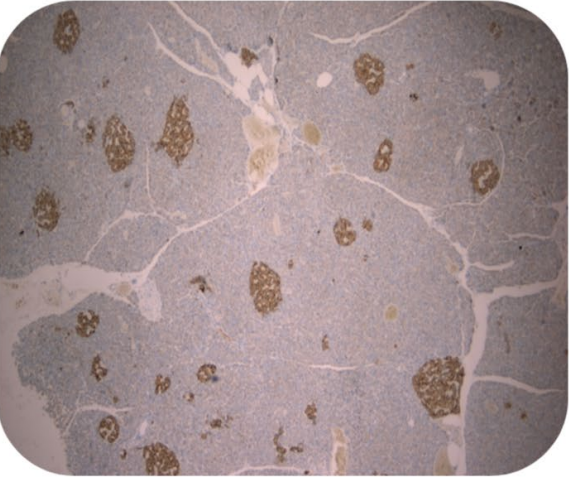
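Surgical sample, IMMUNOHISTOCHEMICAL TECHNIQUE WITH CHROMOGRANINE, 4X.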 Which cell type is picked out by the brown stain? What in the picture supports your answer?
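Brown-stained rounded clusters of varied size are scattered in a pale blue background of lobular tissue. Small brown groups and single cells lie between the larger clusters.
Conclusion: pancreatic islet cells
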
